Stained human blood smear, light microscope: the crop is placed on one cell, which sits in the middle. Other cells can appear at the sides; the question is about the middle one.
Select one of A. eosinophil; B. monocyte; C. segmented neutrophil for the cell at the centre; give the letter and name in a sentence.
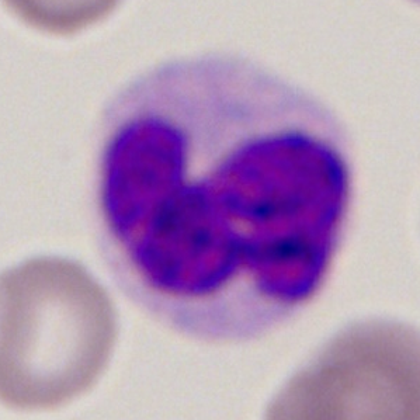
The right choice is option B: the cell in the middle is a monocyte.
